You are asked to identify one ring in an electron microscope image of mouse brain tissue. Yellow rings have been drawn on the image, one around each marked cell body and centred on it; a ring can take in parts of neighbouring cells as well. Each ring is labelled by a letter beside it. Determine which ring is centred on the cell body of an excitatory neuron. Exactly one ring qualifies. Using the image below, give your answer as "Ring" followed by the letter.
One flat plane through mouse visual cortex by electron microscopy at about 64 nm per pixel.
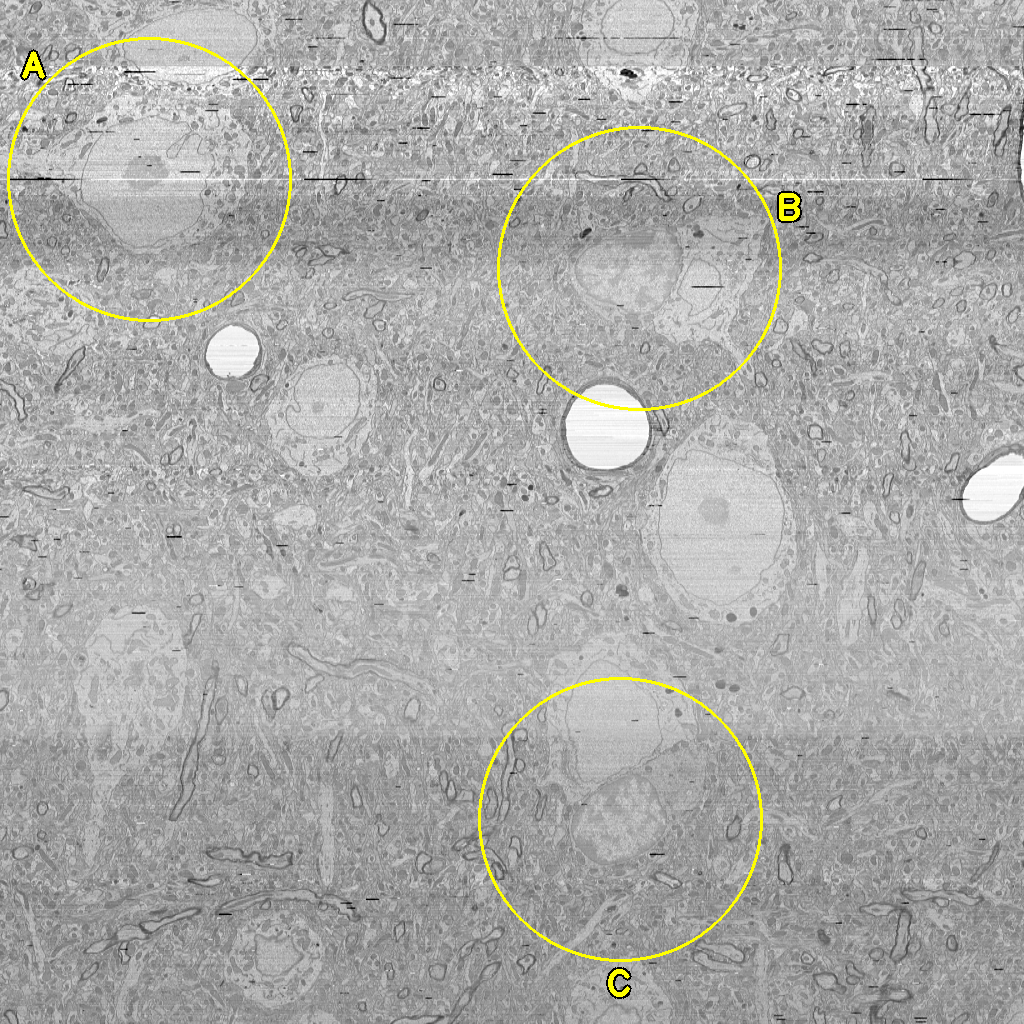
Ring A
